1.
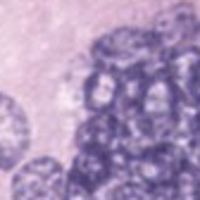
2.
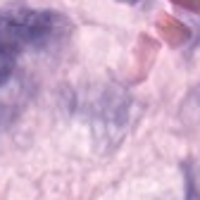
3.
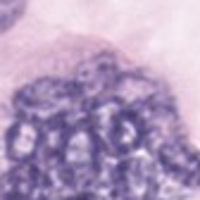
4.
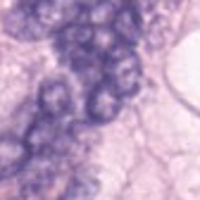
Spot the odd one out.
Picture 2 (a vascular myocyte among syncytial knots).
